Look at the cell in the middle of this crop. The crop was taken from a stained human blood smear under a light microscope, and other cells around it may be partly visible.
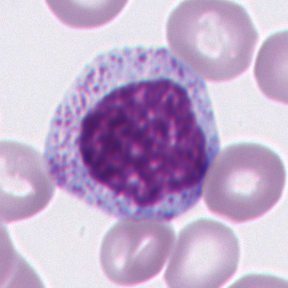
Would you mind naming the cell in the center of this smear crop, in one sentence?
Positioned in the middle of the crop is a myelocyte.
